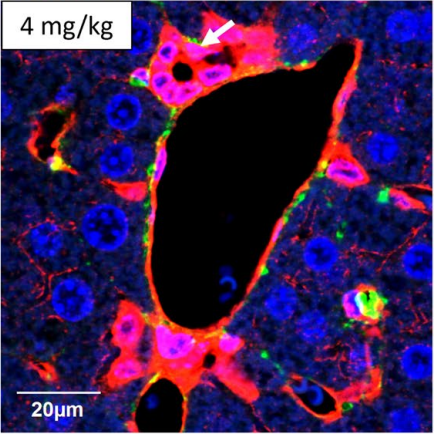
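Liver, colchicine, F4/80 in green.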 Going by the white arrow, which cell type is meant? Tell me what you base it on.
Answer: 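A small ring of cuboidal cells with bright red cytoplasm surrounds a tiny lumen. The ring sits beside a large vessel lumen. Surrounding large polygonal cells have little red signal. The answer: cholangiocytes.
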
